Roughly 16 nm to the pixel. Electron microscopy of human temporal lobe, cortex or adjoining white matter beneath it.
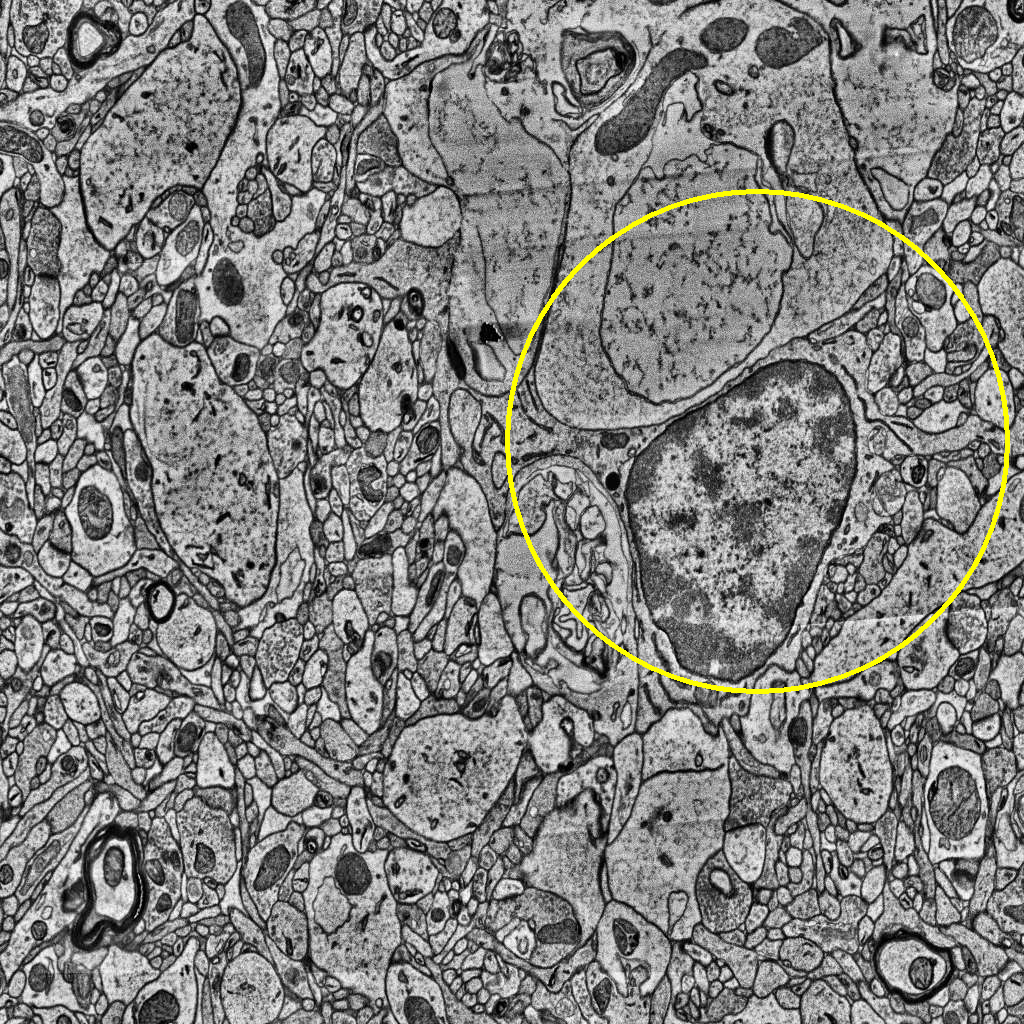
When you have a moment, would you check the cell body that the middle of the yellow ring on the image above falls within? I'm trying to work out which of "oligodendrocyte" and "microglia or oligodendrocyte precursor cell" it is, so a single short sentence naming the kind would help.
This cell body belongs to a microglial cell or oligodendrocyte precursor cell.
